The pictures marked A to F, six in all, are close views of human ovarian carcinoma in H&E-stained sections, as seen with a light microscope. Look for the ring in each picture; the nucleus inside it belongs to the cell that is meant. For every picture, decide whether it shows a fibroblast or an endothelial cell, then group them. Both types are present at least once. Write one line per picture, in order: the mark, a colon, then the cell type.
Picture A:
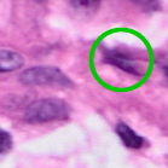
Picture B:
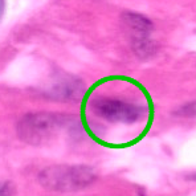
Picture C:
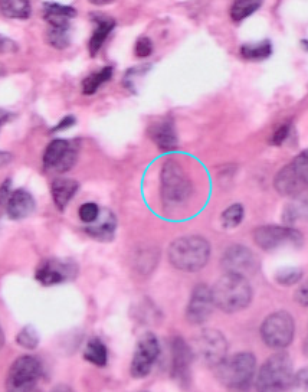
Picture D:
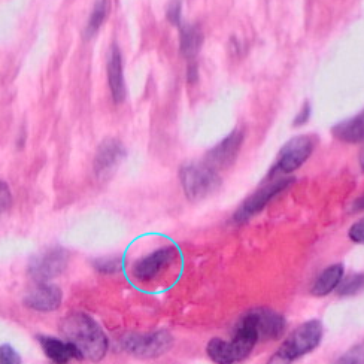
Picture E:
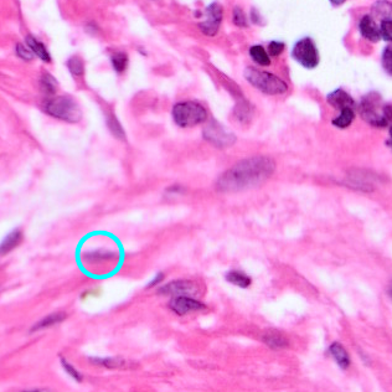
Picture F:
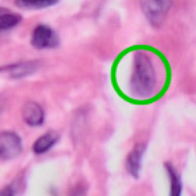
A: endothelial cell
B: fibroblast
C: endothelial cell
D: endothelial cell
E: fibroblast
F: fibroblast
